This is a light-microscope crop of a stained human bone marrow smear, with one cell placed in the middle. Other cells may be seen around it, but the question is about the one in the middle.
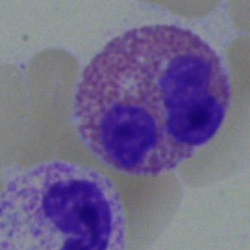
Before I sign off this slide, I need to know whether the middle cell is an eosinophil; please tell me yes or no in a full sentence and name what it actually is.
Yes, the cell centred in the field of view is an eosinophil.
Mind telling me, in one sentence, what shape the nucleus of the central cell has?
Look at the nucleus and you will find it divided into two or more lobes.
